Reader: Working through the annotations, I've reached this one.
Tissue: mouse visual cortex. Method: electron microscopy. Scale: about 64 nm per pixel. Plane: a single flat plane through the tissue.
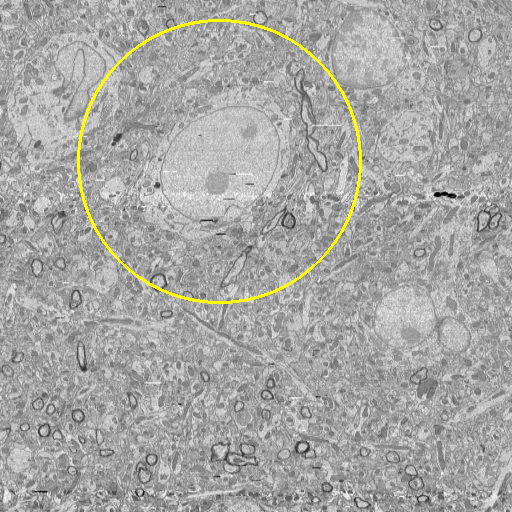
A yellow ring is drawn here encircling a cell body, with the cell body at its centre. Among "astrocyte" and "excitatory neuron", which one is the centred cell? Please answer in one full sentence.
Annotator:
The cell body at the centre of the yellow ring in this image belongs to an excitatory neuron.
